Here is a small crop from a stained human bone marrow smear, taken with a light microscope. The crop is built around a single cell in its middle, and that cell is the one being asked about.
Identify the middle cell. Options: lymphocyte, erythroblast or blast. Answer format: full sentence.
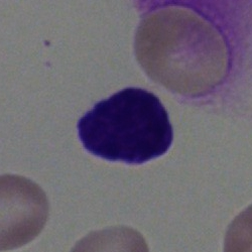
The cell under consideration, at the middle of the crop, is a lymphocyte.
